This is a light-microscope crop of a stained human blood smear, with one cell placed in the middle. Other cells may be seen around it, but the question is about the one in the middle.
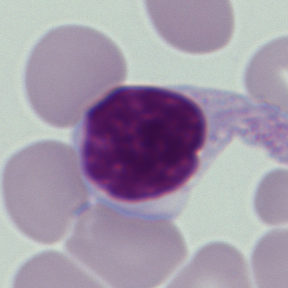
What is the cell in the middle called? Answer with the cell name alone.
large granular lymphocyte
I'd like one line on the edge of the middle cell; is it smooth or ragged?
Ragged or projecting, the border of this cell departs from a smooth contour.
